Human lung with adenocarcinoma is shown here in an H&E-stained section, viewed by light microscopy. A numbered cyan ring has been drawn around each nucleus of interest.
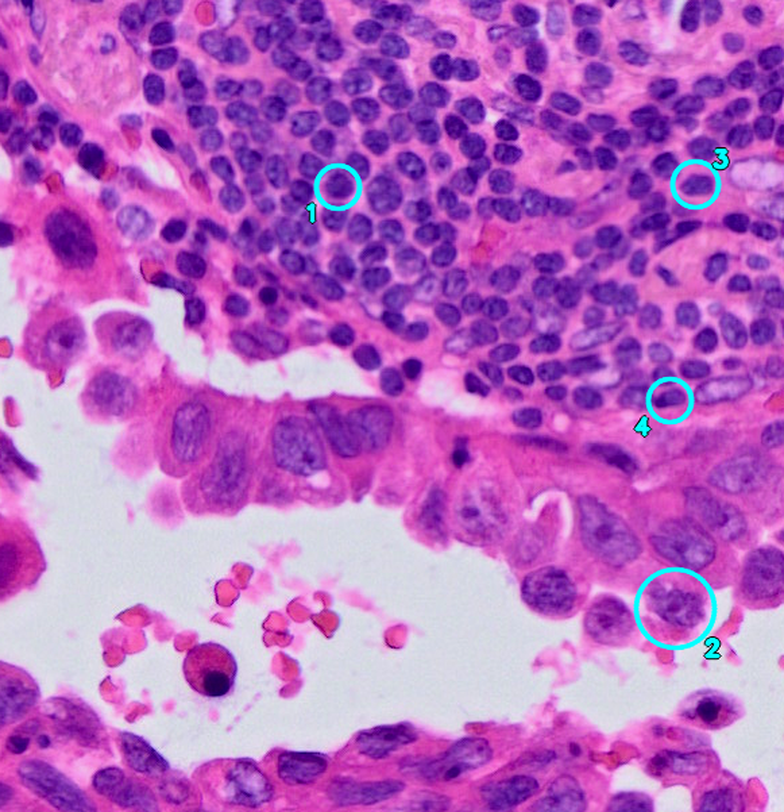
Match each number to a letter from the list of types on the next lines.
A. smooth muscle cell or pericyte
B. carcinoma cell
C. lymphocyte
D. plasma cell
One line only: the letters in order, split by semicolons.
C; B; C; C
